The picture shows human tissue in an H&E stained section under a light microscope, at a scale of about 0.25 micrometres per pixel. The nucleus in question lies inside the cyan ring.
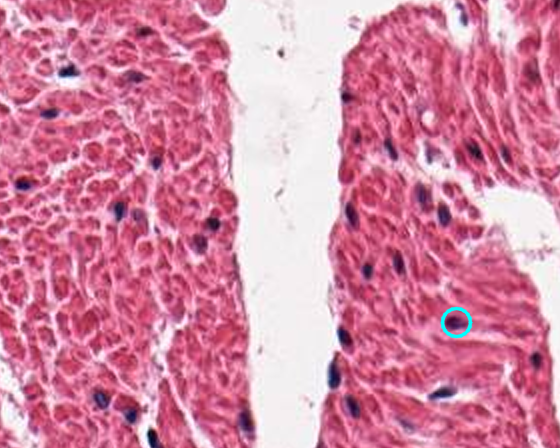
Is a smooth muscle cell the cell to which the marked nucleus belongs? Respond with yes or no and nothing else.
yes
